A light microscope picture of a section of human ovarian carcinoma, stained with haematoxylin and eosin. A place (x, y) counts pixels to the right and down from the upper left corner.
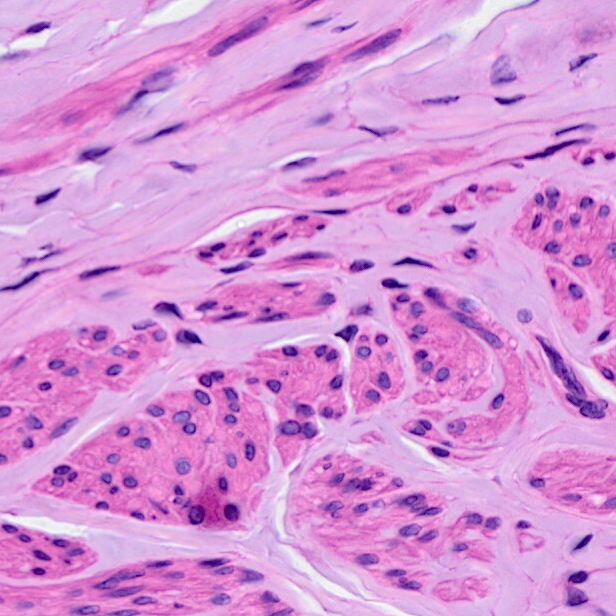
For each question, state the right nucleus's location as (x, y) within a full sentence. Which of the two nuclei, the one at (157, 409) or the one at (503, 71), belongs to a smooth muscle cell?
The nucleus lying at (157, 409) is the nucleus of a smooth muscle cell.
